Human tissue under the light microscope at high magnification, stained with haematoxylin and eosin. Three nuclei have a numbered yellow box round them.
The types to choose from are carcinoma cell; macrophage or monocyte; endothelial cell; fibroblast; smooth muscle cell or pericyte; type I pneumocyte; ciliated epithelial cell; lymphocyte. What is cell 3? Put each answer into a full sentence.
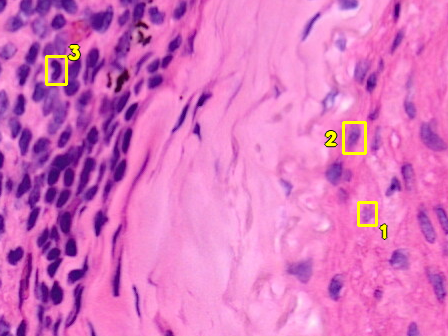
Numbered cell 3 is a lymphocyte in this tissue section.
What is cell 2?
The correct answer for cell 2 is a smooth muscle cell or pericyte.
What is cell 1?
Belonging to a smooth muscle cell or pericyte is the nucleus that carries the number 1.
